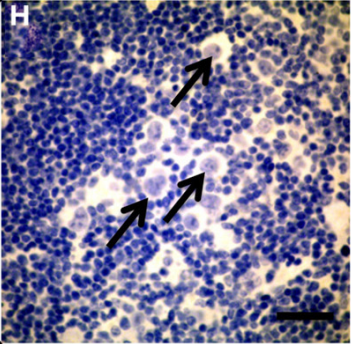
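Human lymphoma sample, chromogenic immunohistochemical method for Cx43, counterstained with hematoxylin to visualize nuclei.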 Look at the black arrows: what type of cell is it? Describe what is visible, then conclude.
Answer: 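Hodgkin/Reed-Stemberg cells. Arrowed cells are much larger than the surrounding small lymphocytes. Arrowed cells have pale cytoplasm and lie in clear spaces. Surrounding small dark round cells form the background.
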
